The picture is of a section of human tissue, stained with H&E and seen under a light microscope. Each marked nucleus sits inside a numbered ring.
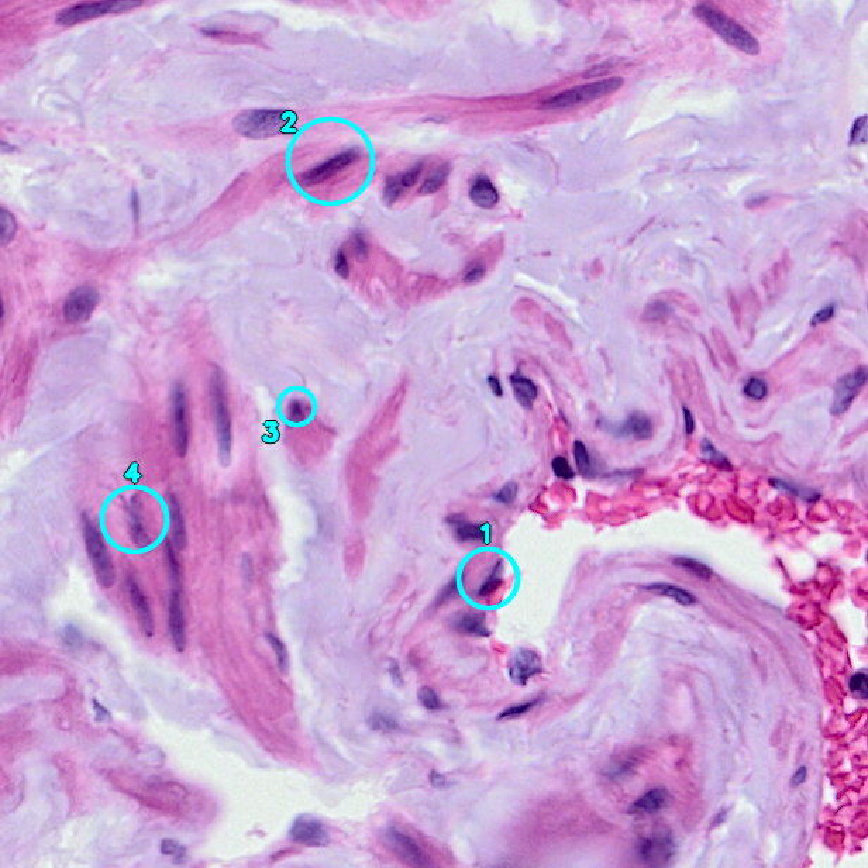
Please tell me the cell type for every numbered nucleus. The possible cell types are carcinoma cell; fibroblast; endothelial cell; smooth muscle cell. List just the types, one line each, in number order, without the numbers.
endothelial cell
smooth muscle cell
smooth muscle cell
smooth muscle cell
